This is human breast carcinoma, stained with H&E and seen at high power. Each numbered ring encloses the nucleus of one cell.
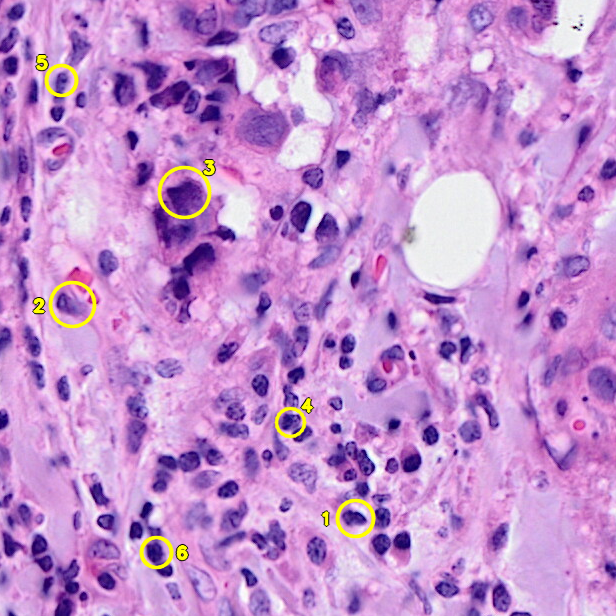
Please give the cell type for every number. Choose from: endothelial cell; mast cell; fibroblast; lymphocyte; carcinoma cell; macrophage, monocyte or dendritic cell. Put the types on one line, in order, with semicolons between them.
lymphocyte; endothelial cell; carcinoma cell; lymphocyte; lymphocyte; lymphocyte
